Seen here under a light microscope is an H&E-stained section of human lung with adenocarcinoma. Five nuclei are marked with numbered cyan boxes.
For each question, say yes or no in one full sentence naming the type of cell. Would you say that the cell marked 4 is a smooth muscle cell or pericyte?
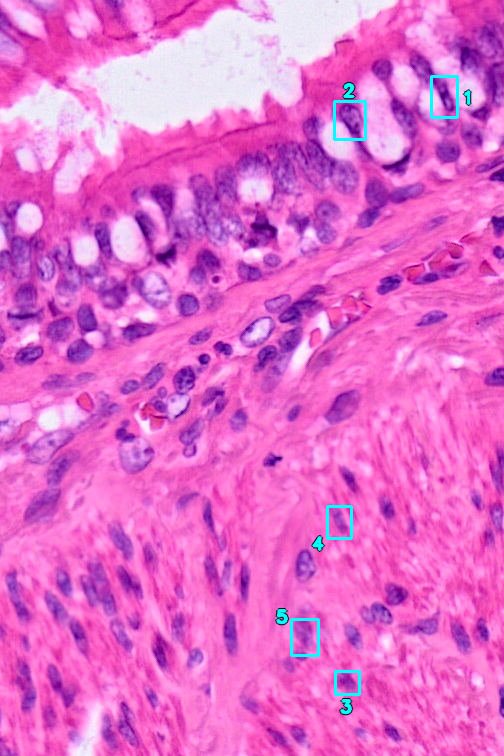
Yes, as for number 4, the cell is a smooth muscle cell or pericyte.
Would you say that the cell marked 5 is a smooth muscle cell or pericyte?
Yes, the cell tagged with number 5 is a smooth muscle cell or pericyte.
